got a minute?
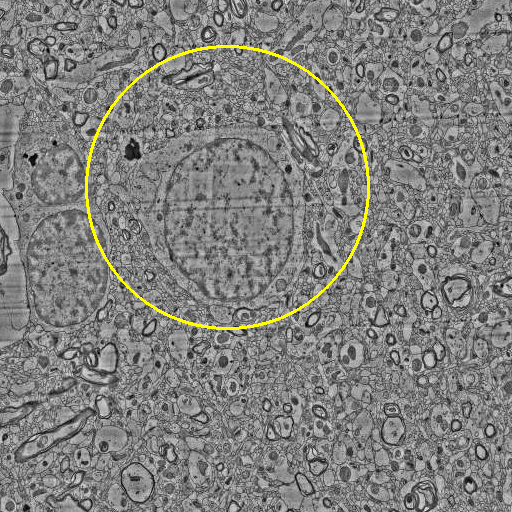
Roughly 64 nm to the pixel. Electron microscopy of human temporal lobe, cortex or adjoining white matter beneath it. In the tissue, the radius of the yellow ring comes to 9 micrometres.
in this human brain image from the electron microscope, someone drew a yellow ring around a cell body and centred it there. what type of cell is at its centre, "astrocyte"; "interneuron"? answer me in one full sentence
It's an interneuron at the middle of that yellow ring in the shot.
